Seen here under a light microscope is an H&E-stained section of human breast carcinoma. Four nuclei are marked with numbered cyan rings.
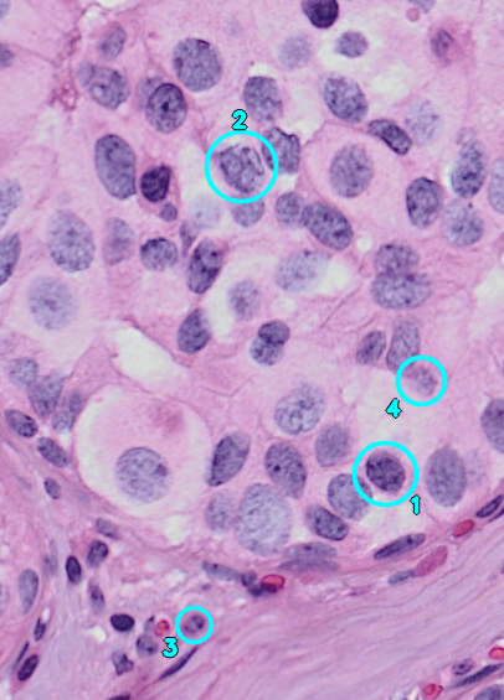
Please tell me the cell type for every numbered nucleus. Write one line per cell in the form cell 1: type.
cell 1: carcinoma cell
cell 2: carcinoma cell
cell 3: mast cell
cell 4: carcinoma cell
